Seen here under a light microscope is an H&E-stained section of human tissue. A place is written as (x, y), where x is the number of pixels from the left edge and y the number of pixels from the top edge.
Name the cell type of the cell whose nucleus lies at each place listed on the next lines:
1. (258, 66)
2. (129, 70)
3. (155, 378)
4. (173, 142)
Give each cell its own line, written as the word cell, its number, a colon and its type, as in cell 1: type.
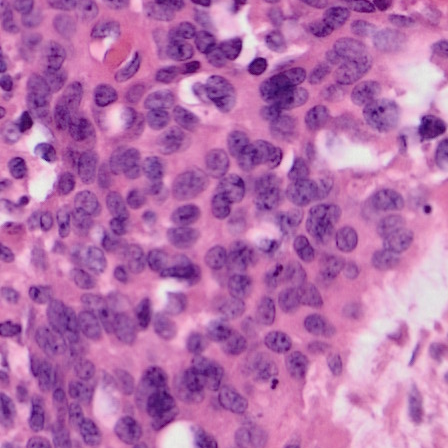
cell 1: carcinoma cell
cell 2: endothelial cell
cell 3: carcinoma cell
cell 4: carcinoma cell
